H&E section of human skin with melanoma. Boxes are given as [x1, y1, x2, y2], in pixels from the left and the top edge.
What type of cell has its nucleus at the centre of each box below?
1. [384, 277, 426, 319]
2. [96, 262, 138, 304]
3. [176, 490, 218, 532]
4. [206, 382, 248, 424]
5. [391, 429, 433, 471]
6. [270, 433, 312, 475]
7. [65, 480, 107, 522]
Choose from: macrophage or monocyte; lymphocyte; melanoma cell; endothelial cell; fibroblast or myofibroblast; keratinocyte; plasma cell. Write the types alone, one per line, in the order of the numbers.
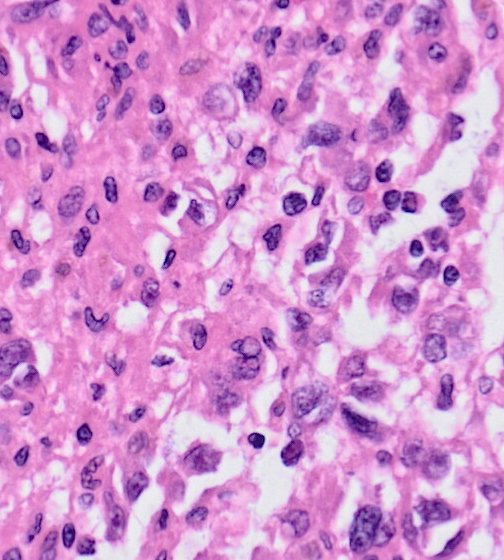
melanoma cell
macrophage or monocyte
macrophage or monocyte
melanoma cell
melanoma cell
melanoma cell
macrophage or monocyte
